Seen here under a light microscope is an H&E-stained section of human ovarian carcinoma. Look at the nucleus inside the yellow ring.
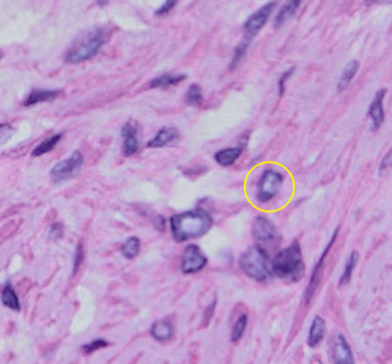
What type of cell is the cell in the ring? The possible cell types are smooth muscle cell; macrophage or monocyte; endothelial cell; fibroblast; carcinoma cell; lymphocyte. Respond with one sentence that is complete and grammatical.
In this tissue section, the cell in the ring is to be classed as a fibroblast.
